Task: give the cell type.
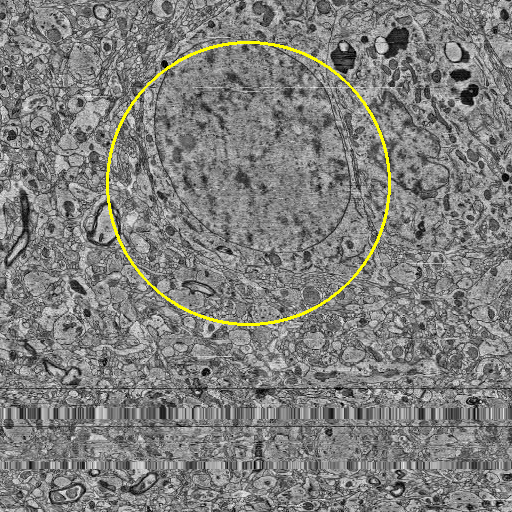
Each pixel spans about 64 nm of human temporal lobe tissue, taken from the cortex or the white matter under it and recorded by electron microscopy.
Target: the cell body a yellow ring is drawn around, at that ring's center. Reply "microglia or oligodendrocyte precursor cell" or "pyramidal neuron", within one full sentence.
In this picture, the cell whose body lies at the ring's center is a pyramidal neuron.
